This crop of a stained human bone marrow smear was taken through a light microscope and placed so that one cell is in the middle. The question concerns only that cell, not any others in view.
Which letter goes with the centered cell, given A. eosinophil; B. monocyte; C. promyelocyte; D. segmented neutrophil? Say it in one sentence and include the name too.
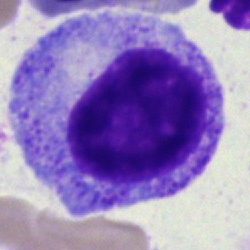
Option C is accurate; the centrally placed cell is a promyelocyte.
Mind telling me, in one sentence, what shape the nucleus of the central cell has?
Its nucleus is compact and single, with a round, oval or kidney-shaped form.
